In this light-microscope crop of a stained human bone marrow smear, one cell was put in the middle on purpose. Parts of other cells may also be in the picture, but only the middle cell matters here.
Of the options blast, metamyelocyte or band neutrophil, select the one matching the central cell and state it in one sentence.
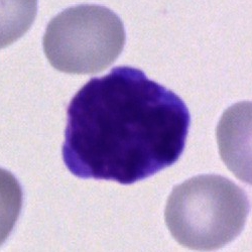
In this crop, the cell at the very middle is a blast.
